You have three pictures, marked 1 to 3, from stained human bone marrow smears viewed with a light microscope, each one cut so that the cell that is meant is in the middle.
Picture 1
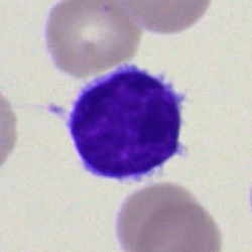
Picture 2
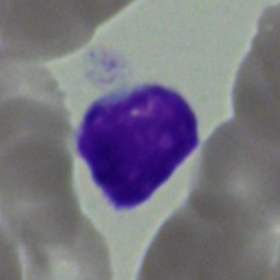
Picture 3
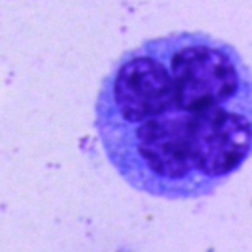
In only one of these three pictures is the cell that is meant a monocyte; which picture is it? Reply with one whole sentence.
The cell in picture 3 is the monocyte.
